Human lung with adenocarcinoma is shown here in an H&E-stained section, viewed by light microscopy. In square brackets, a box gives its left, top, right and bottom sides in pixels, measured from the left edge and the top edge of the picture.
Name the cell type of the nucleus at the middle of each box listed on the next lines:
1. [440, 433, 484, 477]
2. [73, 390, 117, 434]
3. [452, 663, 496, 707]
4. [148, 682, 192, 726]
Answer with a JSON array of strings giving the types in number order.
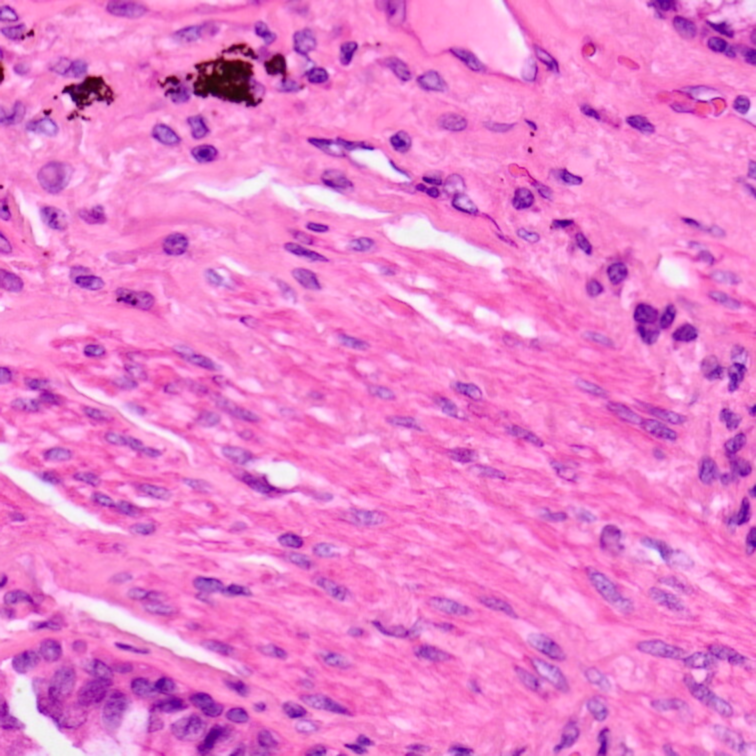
["smooth muscle cell or pericyte", "smooth muscle cell or pericyte", "smooth muscle cell or pericyte", "ciliated epithelial cell"]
